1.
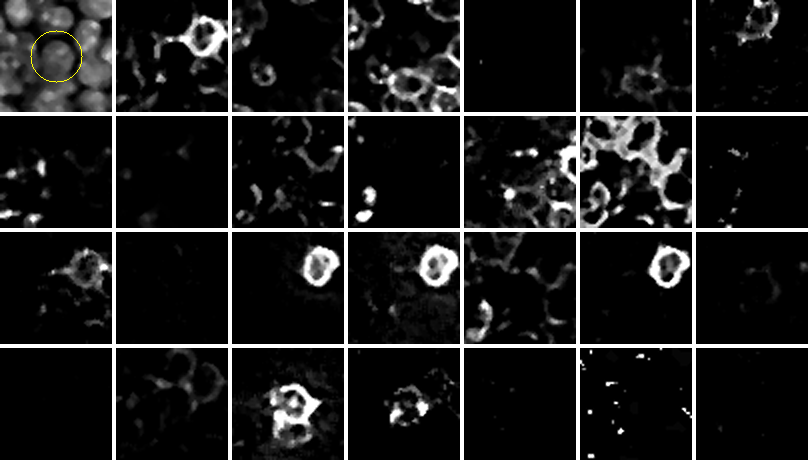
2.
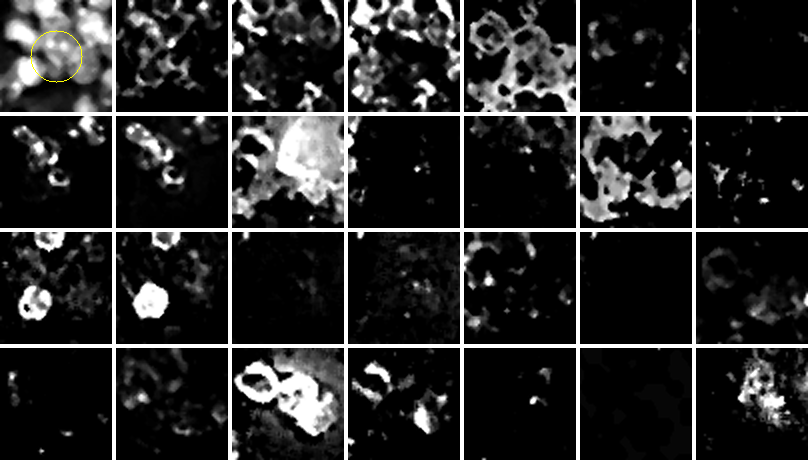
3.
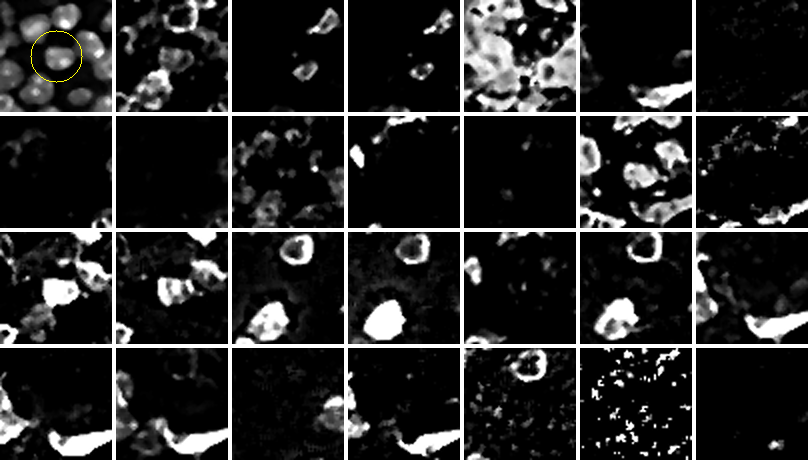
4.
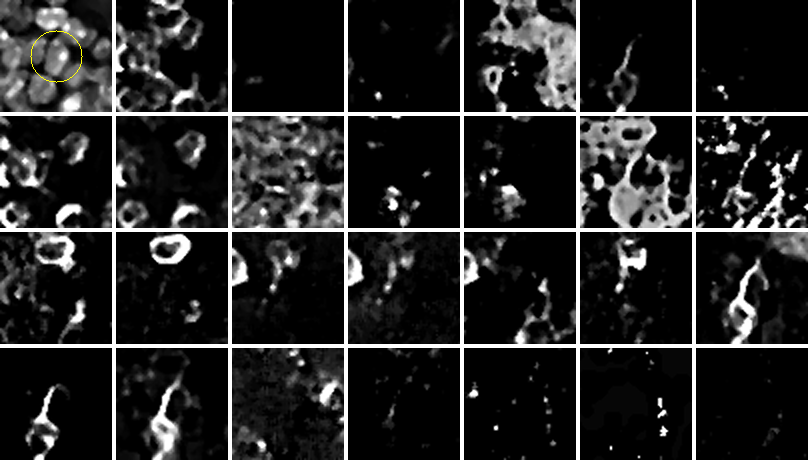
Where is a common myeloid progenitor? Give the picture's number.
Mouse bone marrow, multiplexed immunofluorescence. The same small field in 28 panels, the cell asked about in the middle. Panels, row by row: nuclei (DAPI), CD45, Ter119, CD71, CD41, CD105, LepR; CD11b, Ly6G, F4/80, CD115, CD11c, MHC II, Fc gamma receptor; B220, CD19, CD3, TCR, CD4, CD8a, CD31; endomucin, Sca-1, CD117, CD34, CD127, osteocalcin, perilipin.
1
